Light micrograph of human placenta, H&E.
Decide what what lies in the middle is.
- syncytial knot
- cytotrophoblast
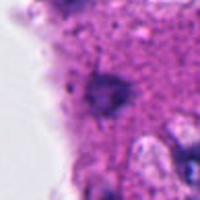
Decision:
cytotrophoblast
